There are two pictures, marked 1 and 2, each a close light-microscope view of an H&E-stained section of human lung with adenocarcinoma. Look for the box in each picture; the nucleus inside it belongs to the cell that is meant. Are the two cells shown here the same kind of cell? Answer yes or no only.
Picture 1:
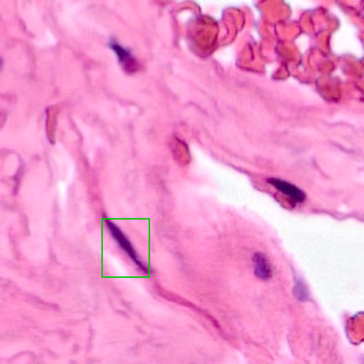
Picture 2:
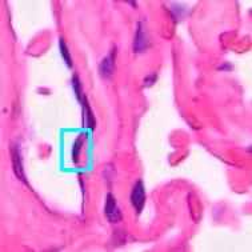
yes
